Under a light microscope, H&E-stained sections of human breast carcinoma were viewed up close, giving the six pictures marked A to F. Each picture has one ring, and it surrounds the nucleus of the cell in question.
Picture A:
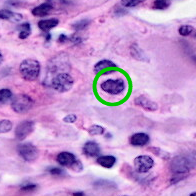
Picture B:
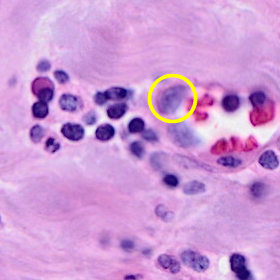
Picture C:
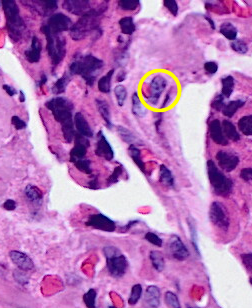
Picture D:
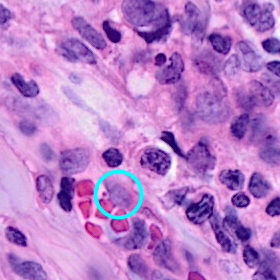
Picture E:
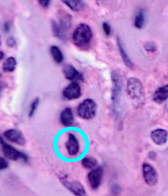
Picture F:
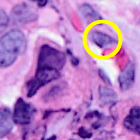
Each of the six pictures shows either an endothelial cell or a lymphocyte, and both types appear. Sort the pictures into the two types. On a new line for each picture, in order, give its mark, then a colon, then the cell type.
A: lymphocyte
B: endothelial cell
C: endothelial cell
D: endothelial cell
E: lymphocyte
F: endothelial cell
